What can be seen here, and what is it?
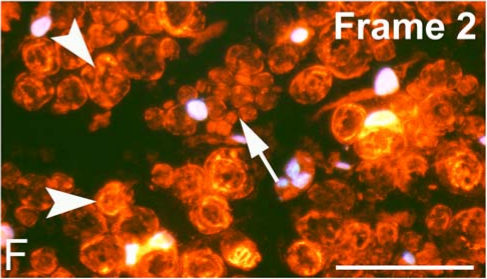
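The rings vary in size, the largest being thick-walled and round, while some clusters are made of many small rings packed closely together. Bright pinkish-white oval nuclei lie scattered among the rings. Dark gaps without rings separate groups of profiles across the field.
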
